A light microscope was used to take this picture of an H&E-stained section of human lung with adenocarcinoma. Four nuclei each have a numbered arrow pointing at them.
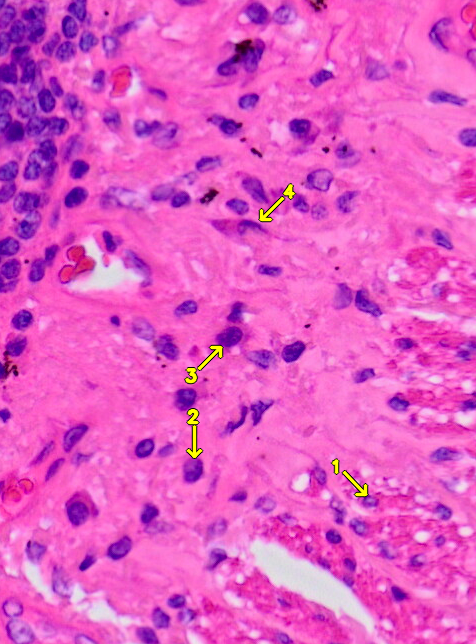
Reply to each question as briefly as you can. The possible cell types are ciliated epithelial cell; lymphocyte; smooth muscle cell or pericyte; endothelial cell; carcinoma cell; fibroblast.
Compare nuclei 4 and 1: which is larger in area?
4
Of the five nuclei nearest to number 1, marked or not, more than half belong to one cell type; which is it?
smooth muscle cell or pericyte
